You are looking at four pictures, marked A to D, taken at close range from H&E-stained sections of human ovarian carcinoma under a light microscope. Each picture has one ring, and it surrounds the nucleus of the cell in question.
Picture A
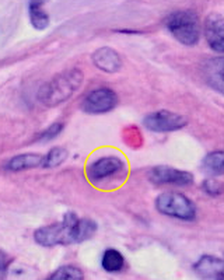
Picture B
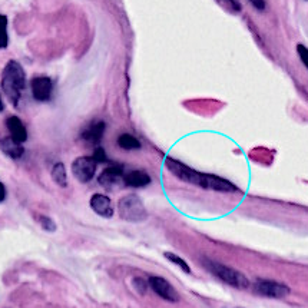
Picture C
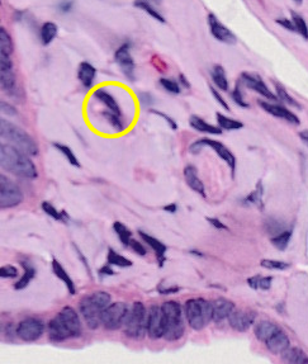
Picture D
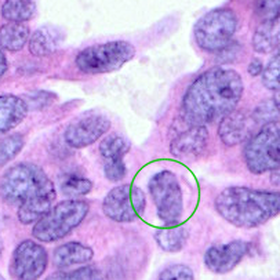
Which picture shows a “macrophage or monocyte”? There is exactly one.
D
